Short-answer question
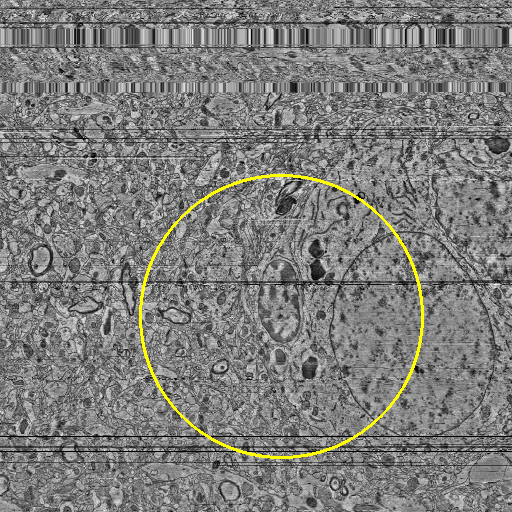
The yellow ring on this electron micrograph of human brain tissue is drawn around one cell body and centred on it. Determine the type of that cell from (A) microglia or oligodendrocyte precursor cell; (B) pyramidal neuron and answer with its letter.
A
